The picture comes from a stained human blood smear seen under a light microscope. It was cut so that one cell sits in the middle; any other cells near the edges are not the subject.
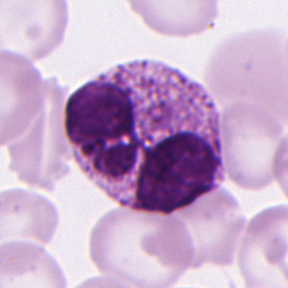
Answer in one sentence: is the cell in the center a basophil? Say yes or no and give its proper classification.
Yes, the cell in the middle of the view is a basophil.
